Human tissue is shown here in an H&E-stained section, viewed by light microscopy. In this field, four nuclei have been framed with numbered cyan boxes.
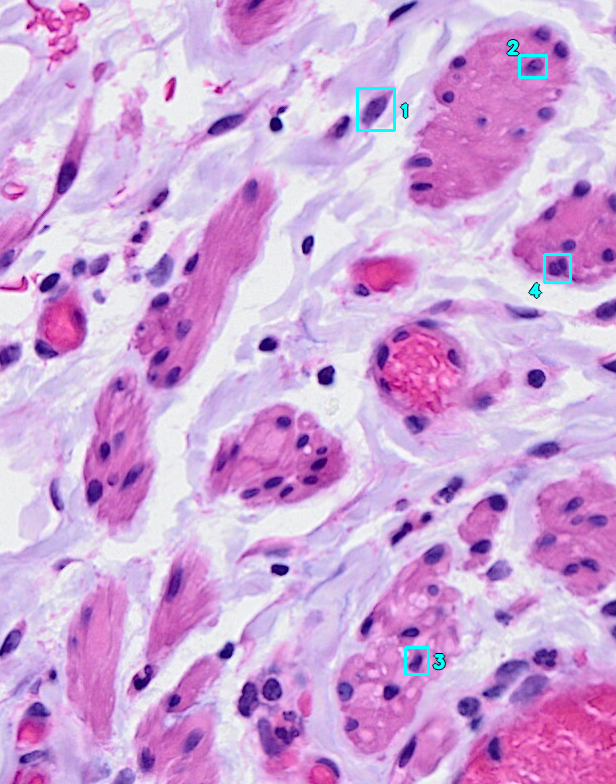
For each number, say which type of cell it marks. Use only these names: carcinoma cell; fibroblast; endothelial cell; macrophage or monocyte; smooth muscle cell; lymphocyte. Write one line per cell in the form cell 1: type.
cell 1: fibroblast
cell 2: smooth muscle cell
cell 3: smooth muscle cell
cell 4: smooth muscle cell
